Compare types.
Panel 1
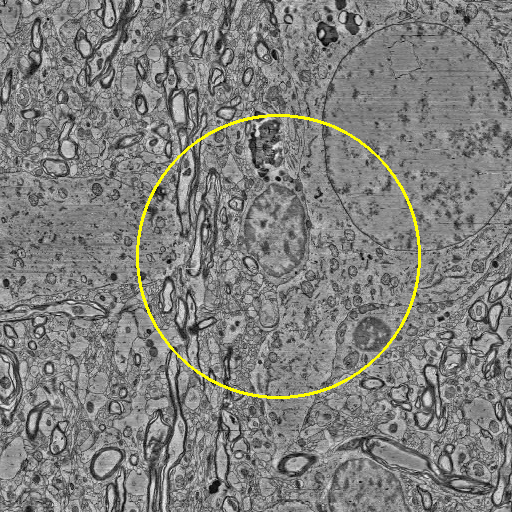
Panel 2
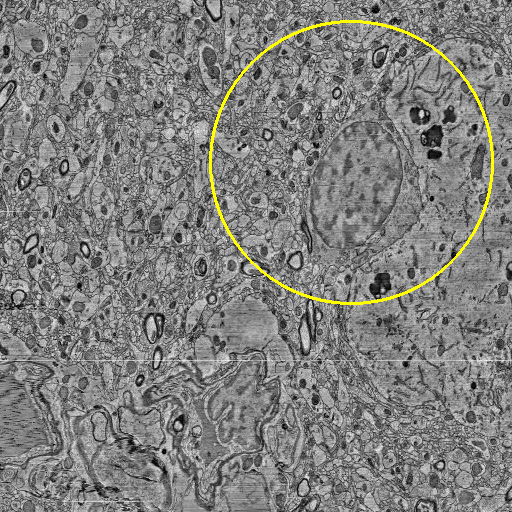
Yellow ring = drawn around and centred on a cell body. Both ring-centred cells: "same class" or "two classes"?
same class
